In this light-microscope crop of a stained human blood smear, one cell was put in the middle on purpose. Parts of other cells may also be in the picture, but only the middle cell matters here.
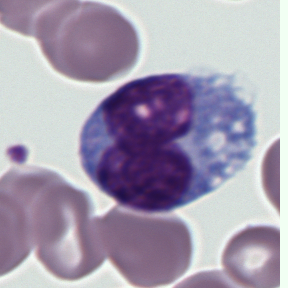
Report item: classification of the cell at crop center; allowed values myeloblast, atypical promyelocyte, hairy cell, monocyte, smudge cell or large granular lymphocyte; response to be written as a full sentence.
The cell in the exact centre of the crop is a monocyte.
